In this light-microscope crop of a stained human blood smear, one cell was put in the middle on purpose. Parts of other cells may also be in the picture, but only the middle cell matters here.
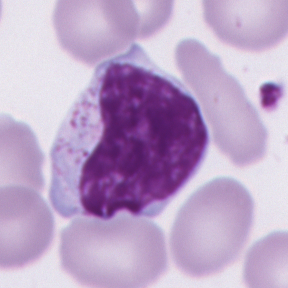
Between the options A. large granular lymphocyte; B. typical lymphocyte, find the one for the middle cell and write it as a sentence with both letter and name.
The correct identification, given in option A, is that the central cell is a large granular lymphocyte.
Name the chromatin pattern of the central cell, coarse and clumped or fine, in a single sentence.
Chromatin in the nucleus here is coarsely clumped.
